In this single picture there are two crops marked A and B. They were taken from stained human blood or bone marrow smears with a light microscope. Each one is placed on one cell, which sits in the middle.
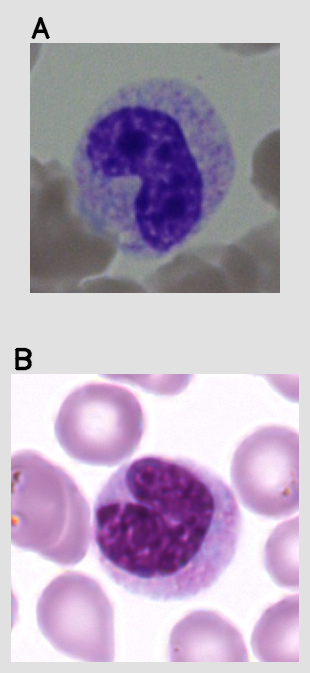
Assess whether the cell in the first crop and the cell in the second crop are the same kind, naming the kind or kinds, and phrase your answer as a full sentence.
Yes, both crops show band neutrophils, one in each.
